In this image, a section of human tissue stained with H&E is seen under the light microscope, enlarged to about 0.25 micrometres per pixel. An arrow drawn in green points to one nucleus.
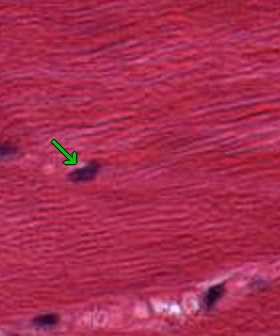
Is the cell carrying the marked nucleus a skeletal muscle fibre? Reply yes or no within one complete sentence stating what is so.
Yes, the marked nucleus is the nucleus of a skeletal muscle fibre.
